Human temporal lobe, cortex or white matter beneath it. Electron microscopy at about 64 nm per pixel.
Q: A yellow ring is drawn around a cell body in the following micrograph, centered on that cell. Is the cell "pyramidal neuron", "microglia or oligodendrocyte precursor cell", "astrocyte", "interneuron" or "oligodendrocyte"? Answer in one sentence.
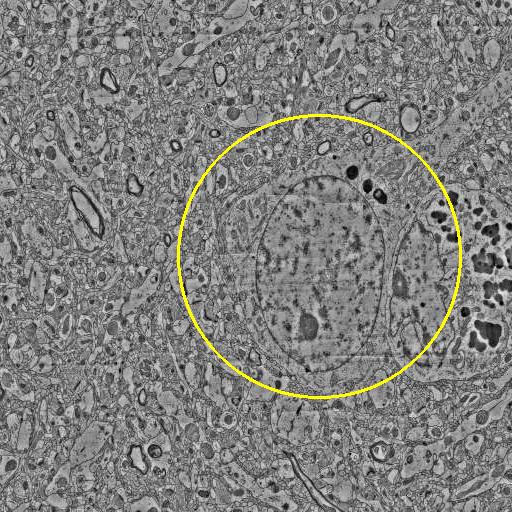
The cell in the center of the ring is a pyramidal neuron.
